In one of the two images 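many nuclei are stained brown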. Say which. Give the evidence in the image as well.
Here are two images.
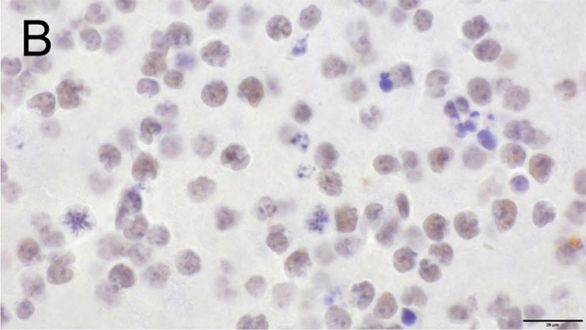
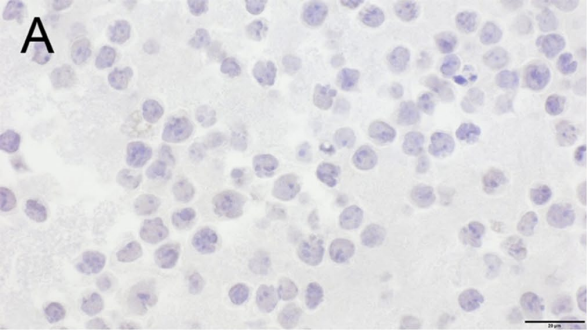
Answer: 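First image: most round nuclei carry a clear brown tint. Second image: the nuclei are only pale blue-purple with no brown.
Hence: the first image.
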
